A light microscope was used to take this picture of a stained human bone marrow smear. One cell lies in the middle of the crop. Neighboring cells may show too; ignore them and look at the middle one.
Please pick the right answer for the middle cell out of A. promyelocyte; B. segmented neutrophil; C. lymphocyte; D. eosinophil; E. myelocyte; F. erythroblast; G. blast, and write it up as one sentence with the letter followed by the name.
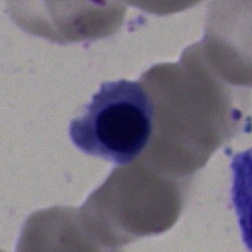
The central cell, an erythroblast, is correctly identified by option F.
